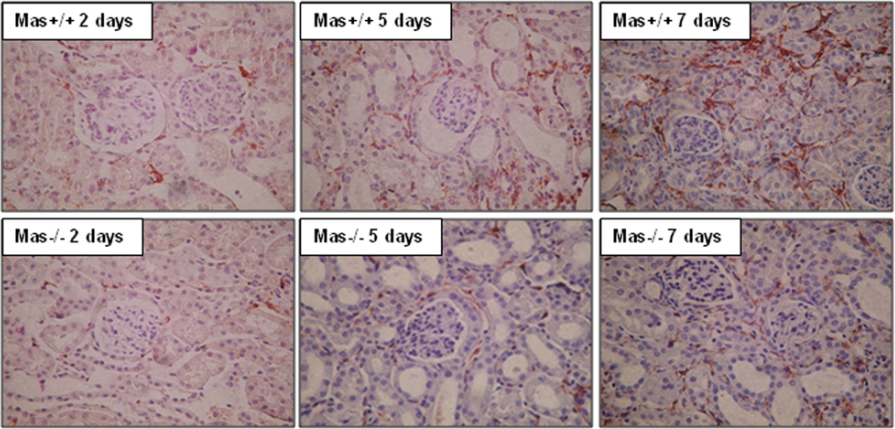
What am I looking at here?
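Six fields of renal cortex show round glomeruli surrounded by cross-sectioned tubules lined by cuboidal cells with blue nuclei. Scattered brown-stained cells sit in the narrow interstitium between the tubules and around the glomeruli, many of them irregular or spindle-like with fine processes. In some fields these brown cells are sparse and isolated, while in others they form dense, branching networks throughout the interstitium.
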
